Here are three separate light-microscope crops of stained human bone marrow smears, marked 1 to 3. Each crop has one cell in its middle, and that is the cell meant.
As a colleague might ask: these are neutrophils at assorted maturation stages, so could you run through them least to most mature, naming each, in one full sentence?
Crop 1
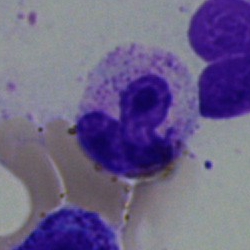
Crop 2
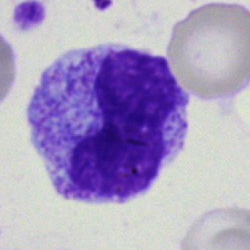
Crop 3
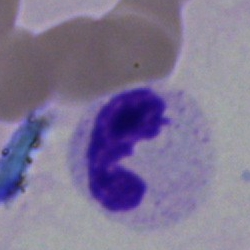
Least to most mature, the order stands as crop 2 (a metamyelocyte), crop 3 (a band neutrophil) and crop 1 (a segmented neutrophil).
